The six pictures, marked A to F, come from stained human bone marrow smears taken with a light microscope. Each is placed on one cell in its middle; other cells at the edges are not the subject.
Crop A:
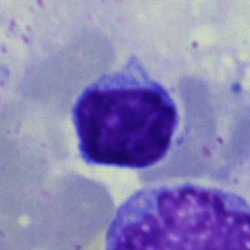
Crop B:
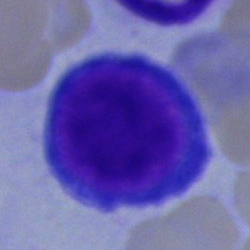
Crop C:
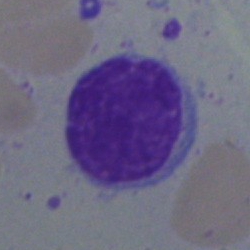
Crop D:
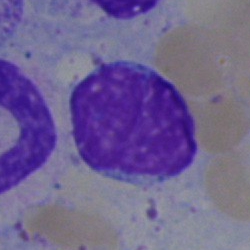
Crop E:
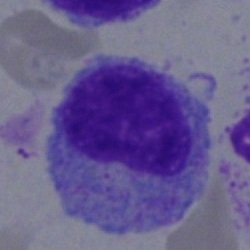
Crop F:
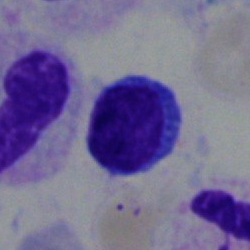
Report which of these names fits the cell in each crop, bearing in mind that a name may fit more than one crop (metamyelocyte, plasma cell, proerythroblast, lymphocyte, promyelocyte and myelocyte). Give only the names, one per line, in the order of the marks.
lymphocyte
proerythroblast
lymphocyte
lymphocyte
myelocyte
lymphocyte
